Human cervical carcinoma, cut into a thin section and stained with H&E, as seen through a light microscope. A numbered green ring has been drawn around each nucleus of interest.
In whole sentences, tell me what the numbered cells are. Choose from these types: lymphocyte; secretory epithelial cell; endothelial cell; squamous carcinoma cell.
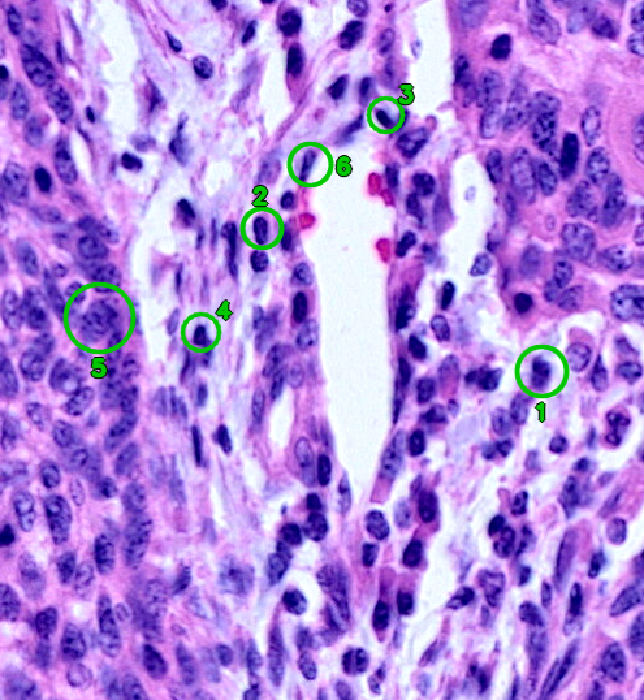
Cell 1 is a lymphocyte, cell 2 is a lymphocyte, cell 3 is a lymphocyte, cell 4 is a lymphocyte, cell 5 is a squamous carcinoma cell and cell 6 is an endothelial cell.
